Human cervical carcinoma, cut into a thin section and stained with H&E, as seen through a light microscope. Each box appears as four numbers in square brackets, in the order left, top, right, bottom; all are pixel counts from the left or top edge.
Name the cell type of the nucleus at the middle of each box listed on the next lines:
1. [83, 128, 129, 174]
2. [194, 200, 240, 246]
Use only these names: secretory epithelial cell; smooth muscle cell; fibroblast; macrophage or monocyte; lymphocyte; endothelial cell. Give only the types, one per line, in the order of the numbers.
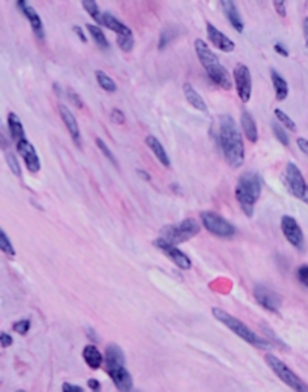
smooth muscle cell
endothelial cell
